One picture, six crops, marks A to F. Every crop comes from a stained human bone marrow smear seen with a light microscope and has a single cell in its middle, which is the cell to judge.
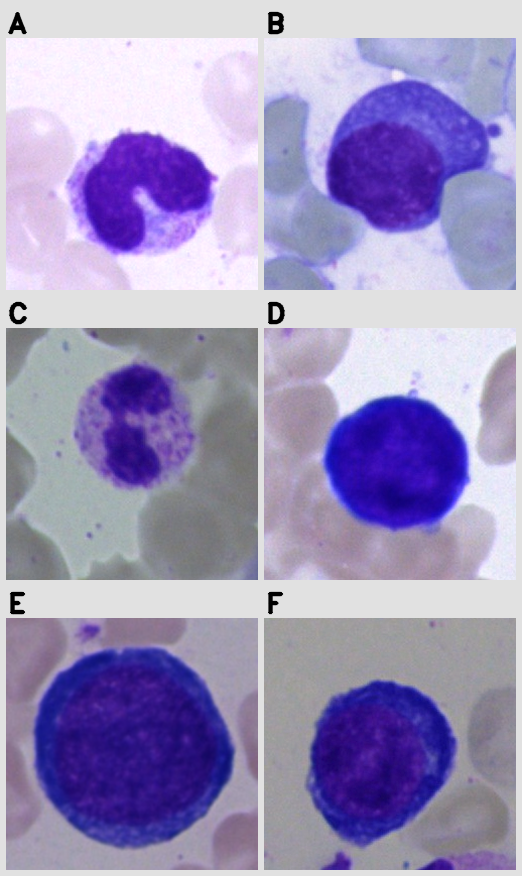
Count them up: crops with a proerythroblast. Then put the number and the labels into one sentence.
The cells in crops D, E and F are proerythroblasts, so three crops in all.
